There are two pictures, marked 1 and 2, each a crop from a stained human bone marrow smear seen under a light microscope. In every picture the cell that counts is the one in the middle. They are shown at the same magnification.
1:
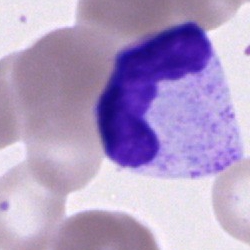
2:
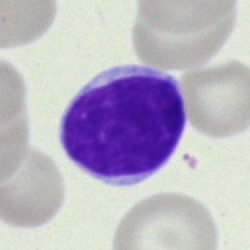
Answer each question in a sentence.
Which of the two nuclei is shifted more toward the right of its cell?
The nucleus in picture 2 lies further toward the right of its cell.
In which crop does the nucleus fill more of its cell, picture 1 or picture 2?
Of the two, the nucleus in picture 2 makes up the greater part of its cell.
